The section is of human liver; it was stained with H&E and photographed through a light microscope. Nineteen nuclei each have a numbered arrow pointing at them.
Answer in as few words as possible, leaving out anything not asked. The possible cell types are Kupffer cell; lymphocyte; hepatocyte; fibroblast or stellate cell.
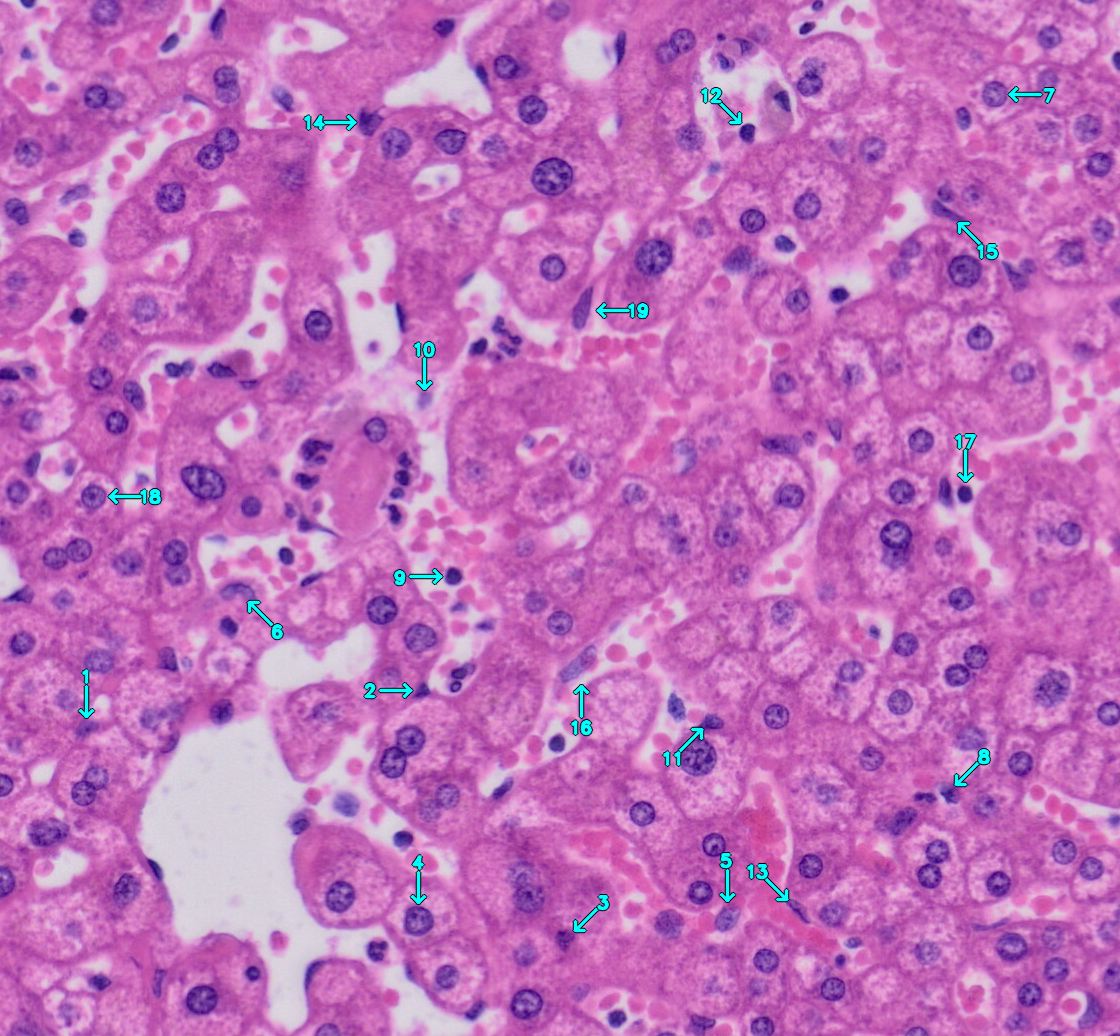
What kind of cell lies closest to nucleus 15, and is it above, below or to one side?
a fibroblast or stellate cell above nucleus 15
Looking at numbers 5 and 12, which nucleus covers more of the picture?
5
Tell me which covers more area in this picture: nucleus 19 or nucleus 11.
19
